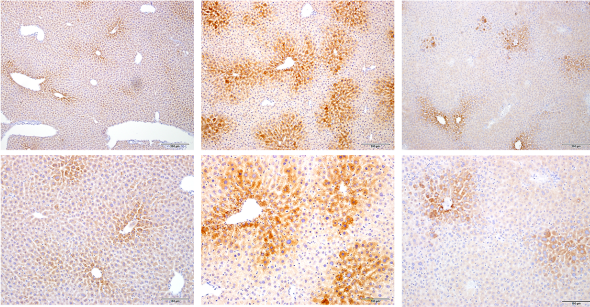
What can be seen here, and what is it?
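Liver sections show sheets of polygonal hepatocytes with round central nuclei arranged in cords separated by narrow sinusoidal spaces. Open vessel lumina of various sizes are scattered through the parenchyma, with the hepatocyte cords surrounding them. The brown stain lies in the cytoplasm of hepatocytes, while nuclei are counterstained blue. The brown stain is not even across the tissue but is concentrated in zones of hepatocytes around some of the vessels, with paler cells between these zones. The intensity and extent of the brown zones differ between the columns of images, being broadest and darkest in the middle column.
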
